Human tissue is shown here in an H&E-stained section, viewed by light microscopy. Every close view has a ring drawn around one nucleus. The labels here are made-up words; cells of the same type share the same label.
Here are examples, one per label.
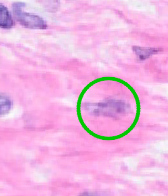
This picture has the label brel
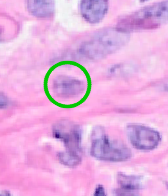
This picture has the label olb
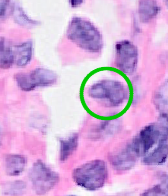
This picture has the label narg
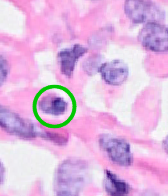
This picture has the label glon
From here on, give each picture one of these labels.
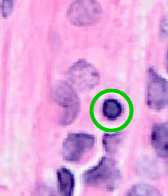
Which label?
glon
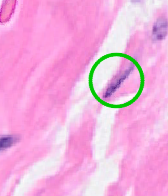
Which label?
brel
